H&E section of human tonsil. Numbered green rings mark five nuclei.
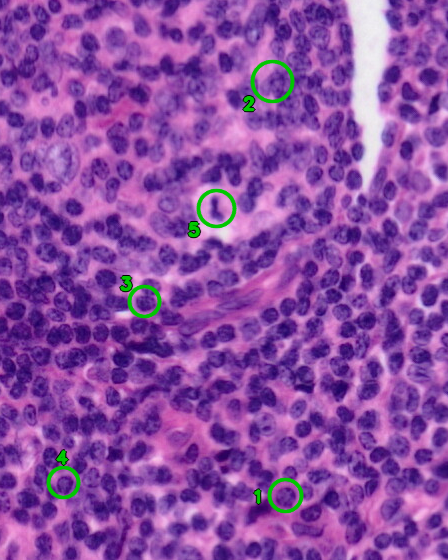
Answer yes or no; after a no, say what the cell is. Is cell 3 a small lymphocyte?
Yes.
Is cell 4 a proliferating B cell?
No, it is a small lymphocyte.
